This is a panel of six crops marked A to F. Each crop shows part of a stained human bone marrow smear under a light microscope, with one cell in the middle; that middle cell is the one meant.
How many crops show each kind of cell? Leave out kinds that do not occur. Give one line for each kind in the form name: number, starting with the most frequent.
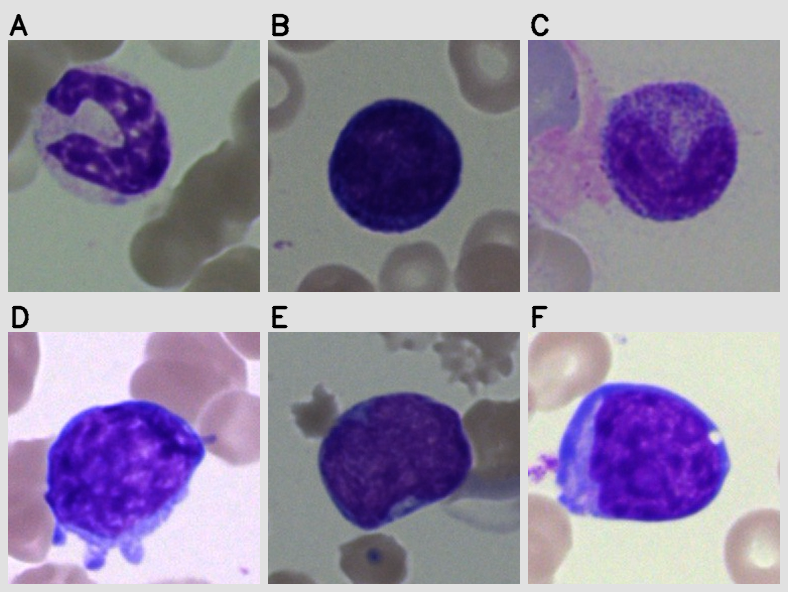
blast: 4
band neutrophil: 2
